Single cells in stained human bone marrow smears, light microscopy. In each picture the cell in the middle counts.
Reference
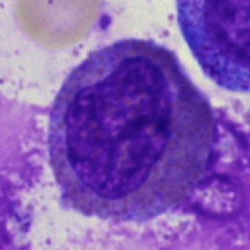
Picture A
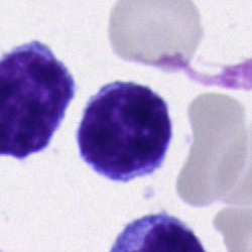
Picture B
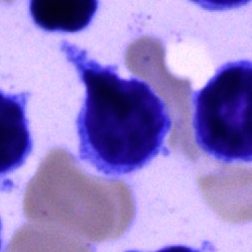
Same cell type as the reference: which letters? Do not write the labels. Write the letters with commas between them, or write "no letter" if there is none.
no letter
